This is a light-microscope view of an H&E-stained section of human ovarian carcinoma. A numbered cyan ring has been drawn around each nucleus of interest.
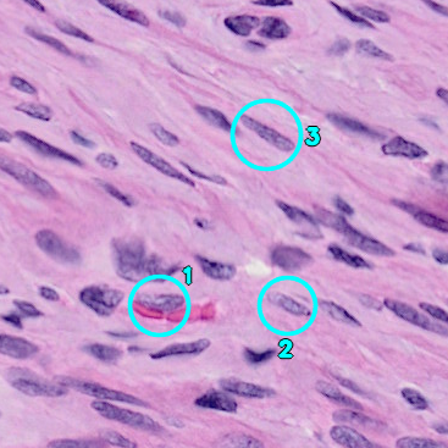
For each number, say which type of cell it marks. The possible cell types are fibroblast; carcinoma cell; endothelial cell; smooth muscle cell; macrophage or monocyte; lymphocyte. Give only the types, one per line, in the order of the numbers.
endothelial cell
smooth muscle cell
smooth muscle cell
